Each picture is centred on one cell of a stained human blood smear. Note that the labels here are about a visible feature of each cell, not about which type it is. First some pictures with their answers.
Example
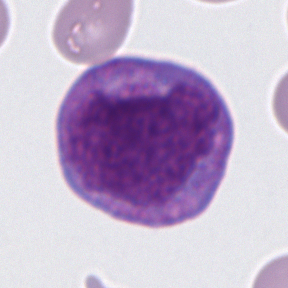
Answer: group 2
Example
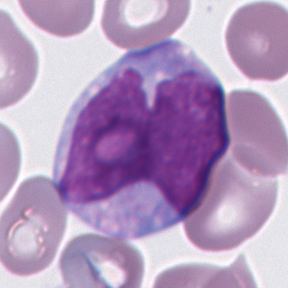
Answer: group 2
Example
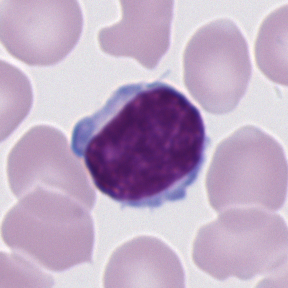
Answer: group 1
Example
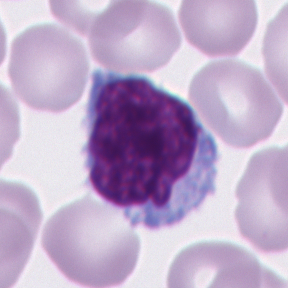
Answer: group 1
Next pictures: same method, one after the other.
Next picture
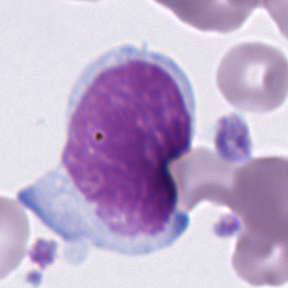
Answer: group 1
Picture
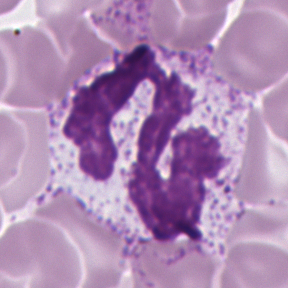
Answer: group 1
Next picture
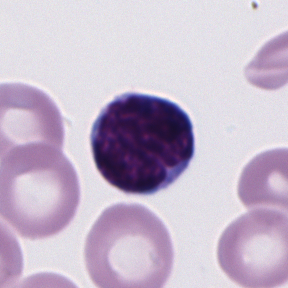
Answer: group 2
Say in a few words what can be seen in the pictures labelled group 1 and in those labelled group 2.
Seen in group 1: ragged outline or projections; seen in group 2: smooth outline.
